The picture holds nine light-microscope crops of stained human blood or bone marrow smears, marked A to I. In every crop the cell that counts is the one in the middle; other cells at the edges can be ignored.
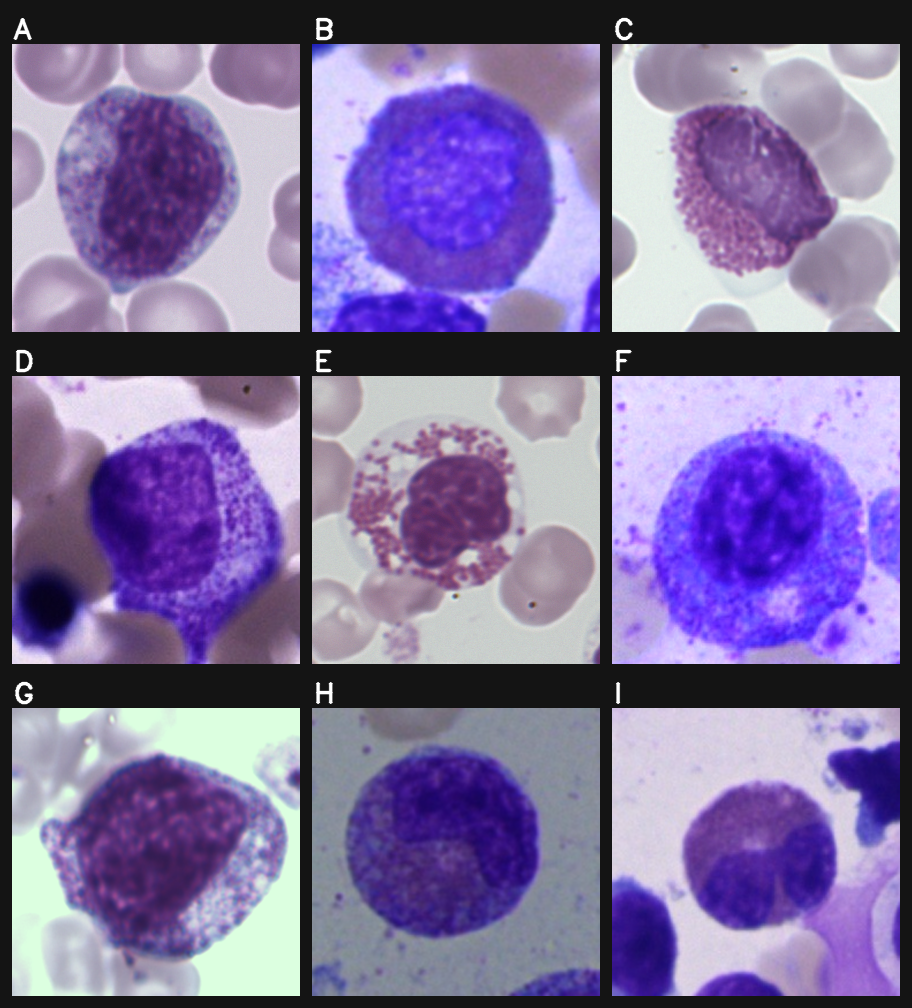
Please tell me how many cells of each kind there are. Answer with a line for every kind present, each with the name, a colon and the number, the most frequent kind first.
eosinophil: 5
promyelocyte: 4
